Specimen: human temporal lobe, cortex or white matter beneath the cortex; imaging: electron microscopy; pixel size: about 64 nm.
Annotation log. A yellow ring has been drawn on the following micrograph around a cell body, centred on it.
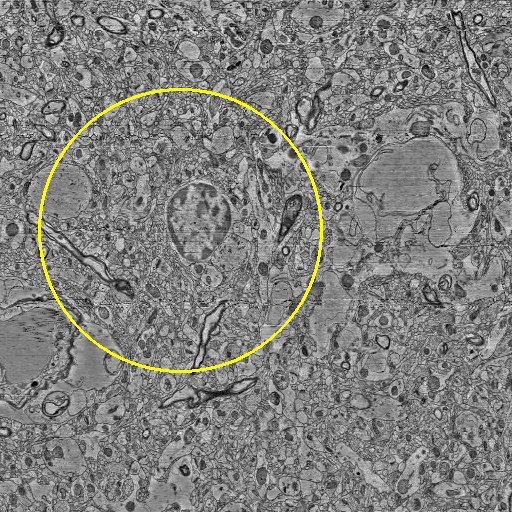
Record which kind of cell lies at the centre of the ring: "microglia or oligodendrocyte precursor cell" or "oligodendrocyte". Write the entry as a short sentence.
The cell the ring is centred on is a microglial cell or oligodendrocyte precursor cell.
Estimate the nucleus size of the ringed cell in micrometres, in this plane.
The nucleus has a long axis of about 5 micrometres and a short axis of about 4 micrometres in this plane.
